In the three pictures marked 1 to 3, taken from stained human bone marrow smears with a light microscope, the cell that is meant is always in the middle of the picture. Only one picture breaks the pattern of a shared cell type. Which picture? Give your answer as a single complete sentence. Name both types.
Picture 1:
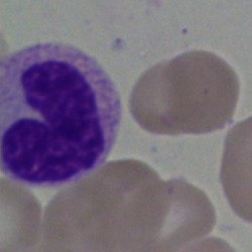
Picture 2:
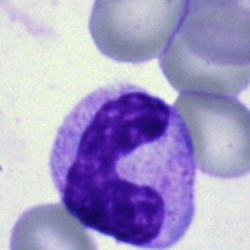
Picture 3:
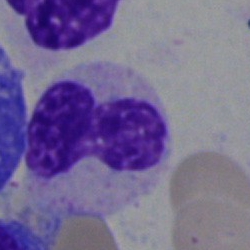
The different one is picture 1; it shows a metamyelocyte, whereas all the others show band neutrophils.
